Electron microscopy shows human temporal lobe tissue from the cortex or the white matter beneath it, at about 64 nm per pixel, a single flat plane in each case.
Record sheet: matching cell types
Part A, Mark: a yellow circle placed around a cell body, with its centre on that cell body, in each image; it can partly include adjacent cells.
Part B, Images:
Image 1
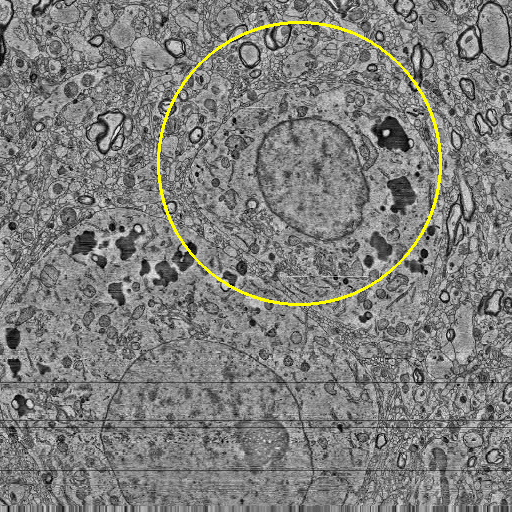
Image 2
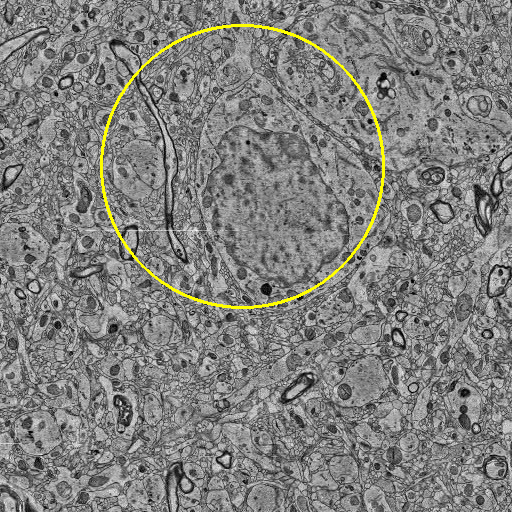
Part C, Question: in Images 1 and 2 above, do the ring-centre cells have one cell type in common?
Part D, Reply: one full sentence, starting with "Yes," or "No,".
Yes, the ring-centre cells of Image 1 and Image 2 are both of a single cell type.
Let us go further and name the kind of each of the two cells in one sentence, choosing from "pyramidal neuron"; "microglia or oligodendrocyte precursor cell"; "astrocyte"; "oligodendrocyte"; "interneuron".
Each of the two rings is centred on an interneuron.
